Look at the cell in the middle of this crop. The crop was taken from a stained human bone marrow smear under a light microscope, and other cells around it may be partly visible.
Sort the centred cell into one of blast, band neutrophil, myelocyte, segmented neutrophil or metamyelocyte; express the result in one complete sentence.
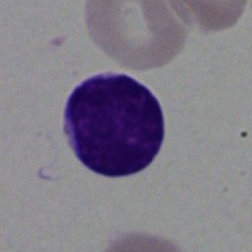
The central cell shown in this smear crop is a blast.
